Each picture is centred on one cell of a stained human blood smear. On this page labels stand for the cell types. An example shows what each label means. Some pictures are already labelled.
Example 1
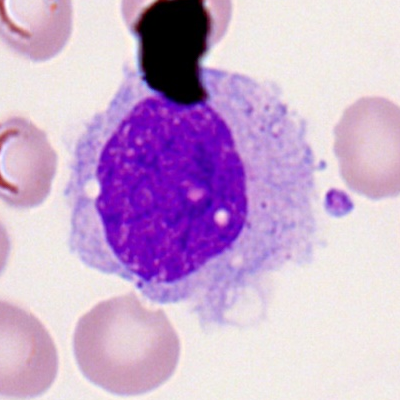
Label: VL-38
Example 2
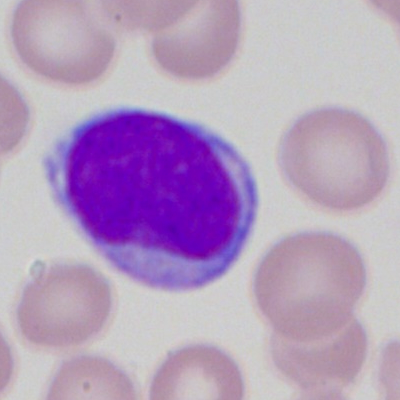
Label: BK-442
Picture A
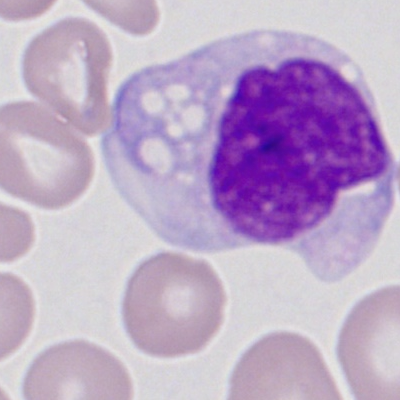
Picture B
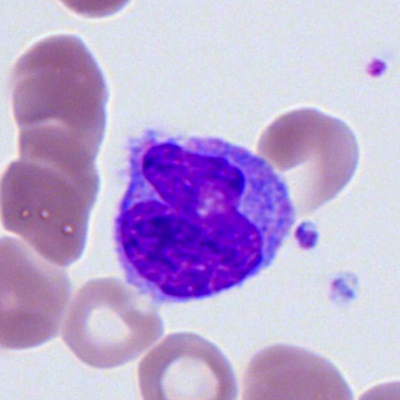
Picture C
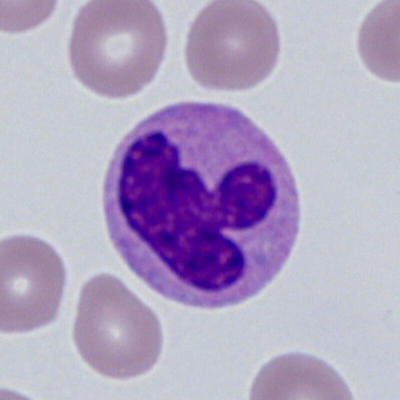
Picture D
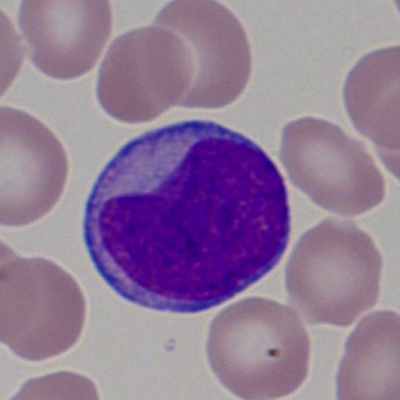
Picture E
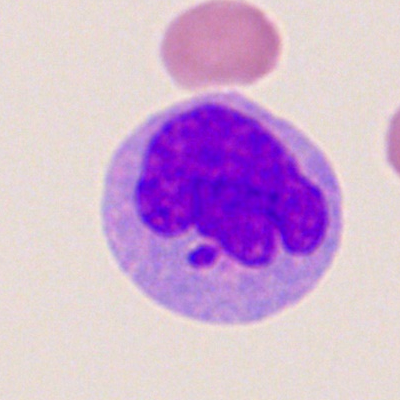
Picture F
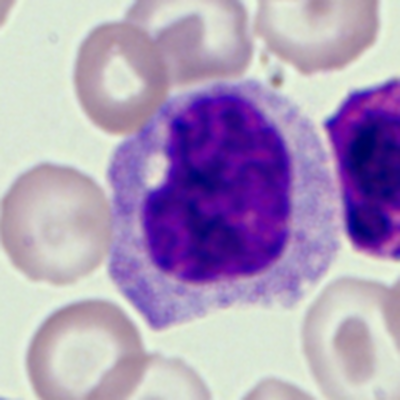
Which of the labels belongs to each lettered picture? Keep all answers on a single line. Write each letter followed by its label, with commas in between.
A VL-38, B VL-38, C VL-38, D BK-442, E VL-38, F VL-38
